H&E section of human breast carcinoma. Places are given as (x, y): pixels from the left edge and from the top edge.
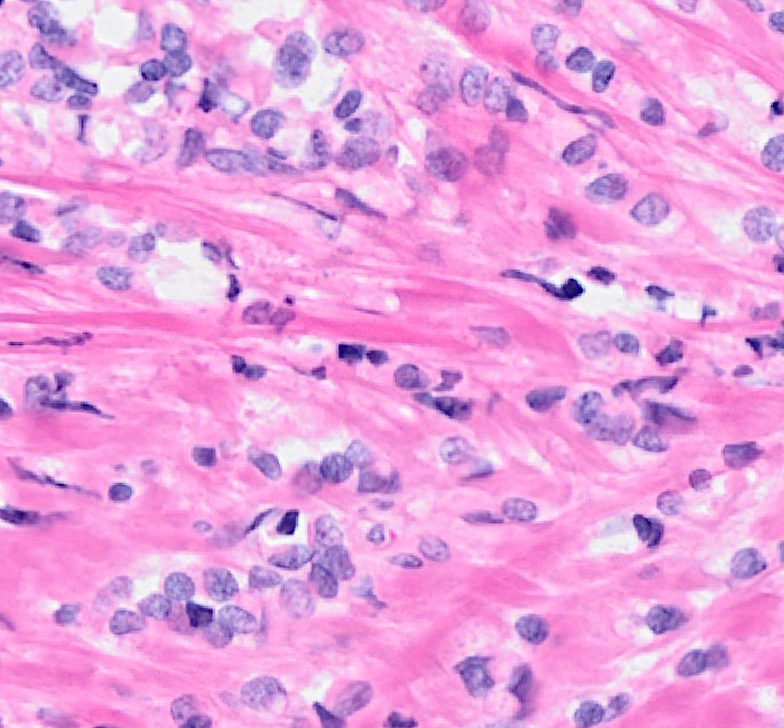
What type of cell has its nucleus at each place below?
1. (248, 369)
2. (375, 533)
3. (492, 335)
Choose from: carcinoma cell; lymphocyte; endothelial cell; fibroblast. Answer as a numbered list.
1. lymphocyte
2. endothelial cell
3. fibroblast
